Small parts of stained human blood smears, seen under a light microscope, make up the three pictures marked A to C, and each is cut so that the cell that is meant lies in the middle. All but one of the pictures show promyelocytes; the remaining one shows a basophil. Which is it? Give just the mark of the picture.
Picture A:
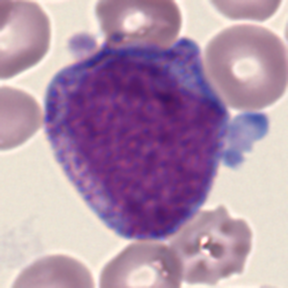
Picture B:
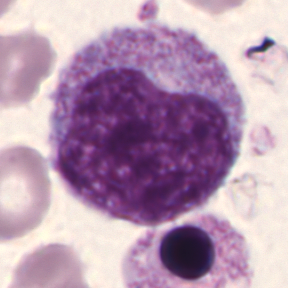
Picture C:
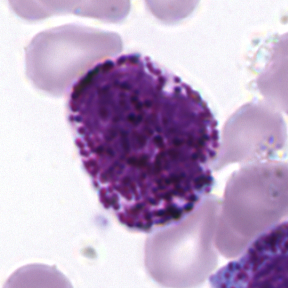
C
